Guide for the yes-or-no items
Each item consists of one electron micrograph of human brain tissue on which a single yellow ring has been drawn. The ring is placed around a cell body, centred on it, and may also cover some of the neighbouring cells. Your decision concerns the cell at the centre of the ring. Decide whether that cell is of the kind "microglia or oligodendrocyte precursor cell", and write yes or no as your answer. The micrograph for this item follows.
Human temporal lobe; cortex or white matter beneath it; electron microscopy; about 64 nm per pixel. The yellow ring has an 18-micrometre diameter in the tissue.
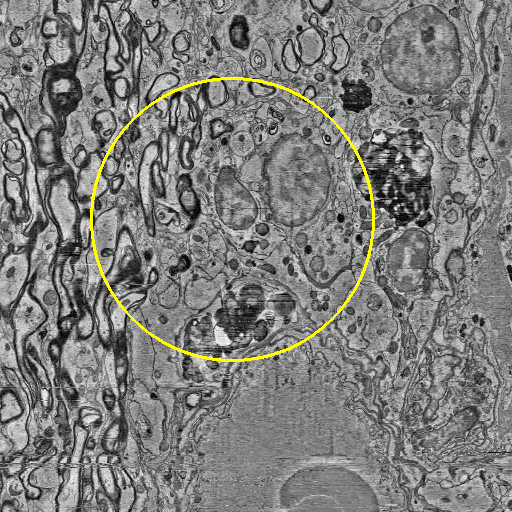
yes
